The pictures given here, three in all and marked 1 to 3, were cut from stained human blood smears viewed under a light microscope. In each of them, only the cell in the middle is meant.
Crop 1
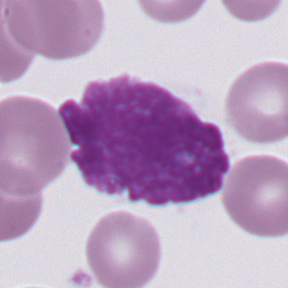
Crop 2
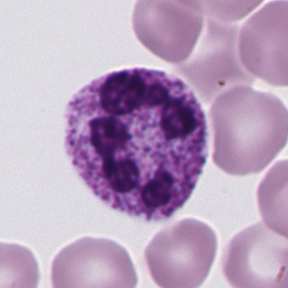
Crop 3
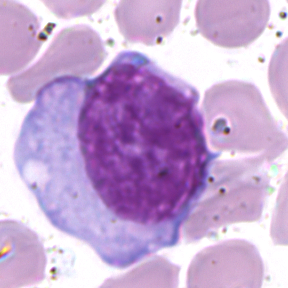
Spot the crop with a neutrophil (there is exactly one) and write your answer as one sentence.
It is the cell in crop 2 that is a neutrophil.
